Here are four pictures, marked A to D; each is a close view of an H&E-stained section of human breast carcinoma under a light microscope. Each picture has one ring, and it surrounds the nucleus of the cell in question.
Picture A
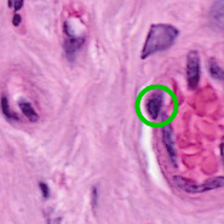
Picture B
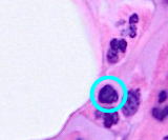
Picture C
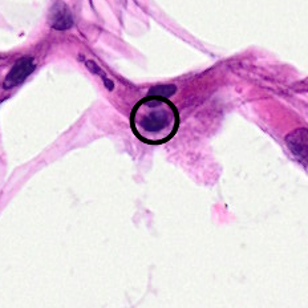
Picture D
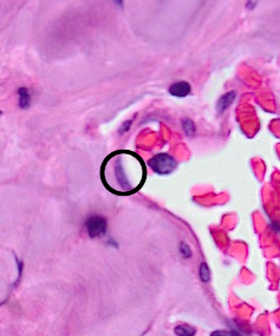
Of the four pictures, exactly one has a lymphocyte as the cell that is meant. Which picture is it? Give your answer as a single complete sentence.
The lymphocyte is the one in picture B.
